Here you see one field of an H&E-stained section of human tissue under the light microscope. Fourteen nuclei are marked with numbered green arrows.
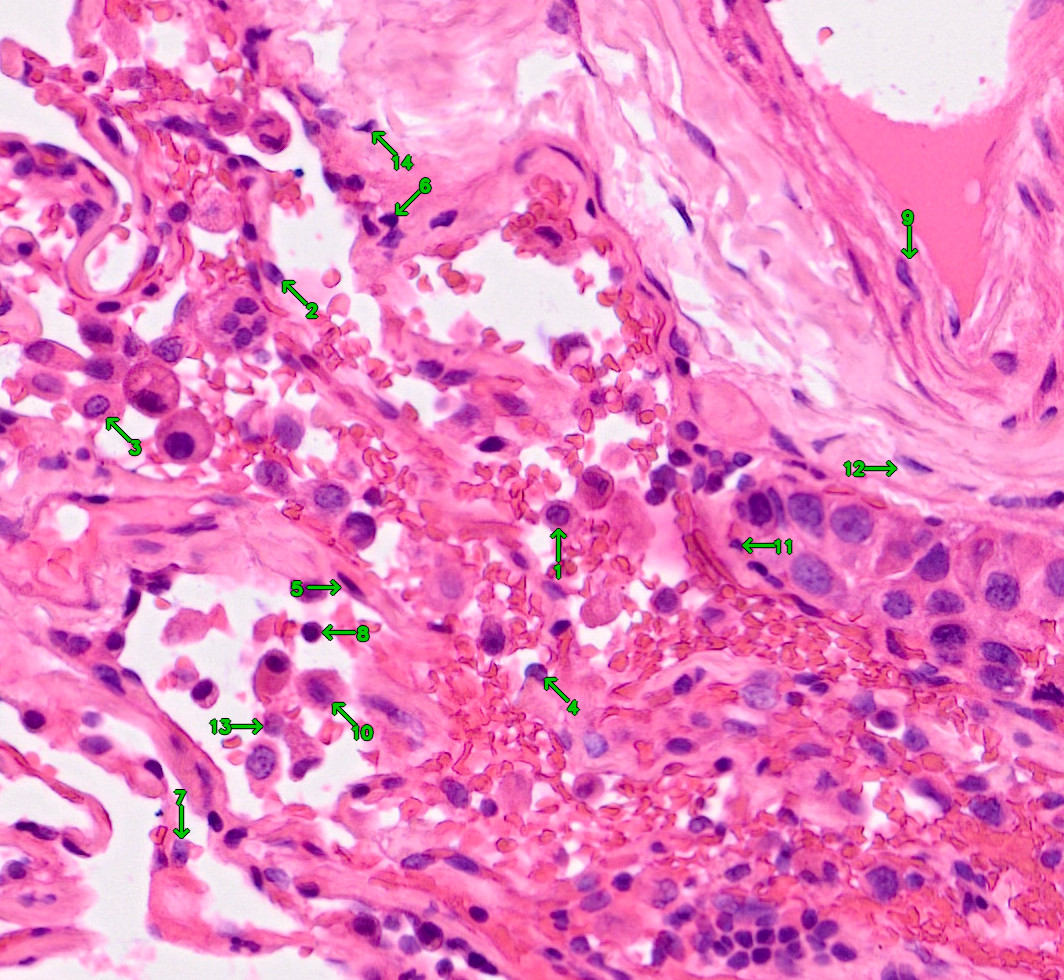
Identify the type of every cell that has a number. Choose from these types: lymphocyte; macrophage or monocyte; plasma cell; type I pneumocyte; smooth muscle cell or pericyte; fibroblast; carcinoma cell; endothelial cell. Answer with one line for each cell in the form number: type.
1: macrophage or monocyte
2: type I pneumocyte
3: macrophage or monocyte
4: type I pneumocyte
5: endothelial cell
6: lymphocyte
7: type I pneumocyte
8: lymphocyte
9: smooth muscle cell or pericyte
10: macrophage or monocyte
11: endothelial cell
12: fibroblast
13: macrophage or monocyte
14: fibroblast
